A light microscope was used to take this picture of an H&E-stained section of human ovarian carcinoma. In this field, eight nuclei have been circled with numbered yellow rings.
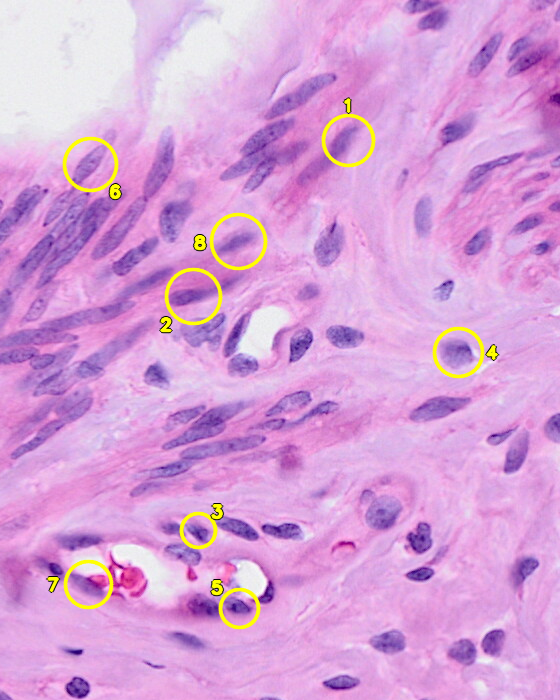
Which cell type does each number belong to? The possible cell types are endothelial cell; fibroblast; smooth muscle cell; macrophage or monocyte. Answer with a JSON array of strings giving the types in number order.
["smooth muscle cell", "smooth muscle cell", "endothelial cell", "fibroblast", "endothelial cell", "smooth muscle cell", "endothelial cell", "smooth muscle cell"]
